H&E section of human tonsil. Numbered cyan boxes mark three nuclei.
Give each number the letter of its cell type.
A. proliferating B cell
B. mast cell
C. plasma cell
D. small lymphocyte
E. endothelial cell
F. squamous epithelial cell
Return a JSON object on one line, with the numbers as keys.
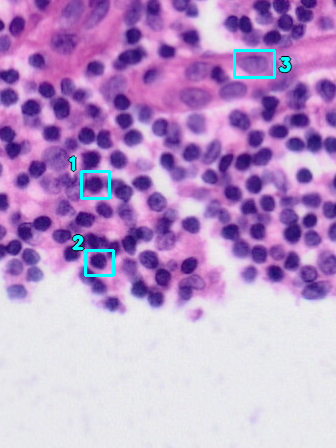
{"1": "D", "2": "D", "3": "E"}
